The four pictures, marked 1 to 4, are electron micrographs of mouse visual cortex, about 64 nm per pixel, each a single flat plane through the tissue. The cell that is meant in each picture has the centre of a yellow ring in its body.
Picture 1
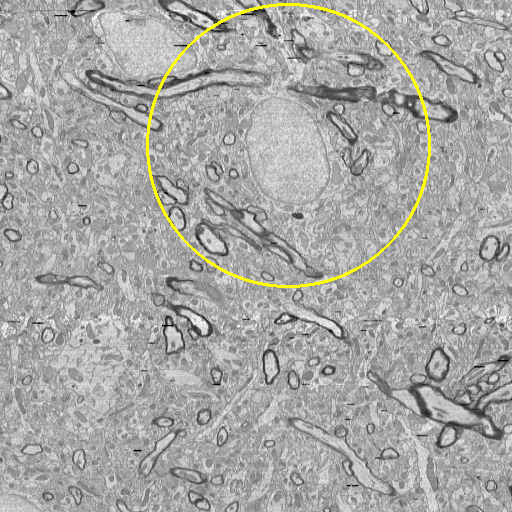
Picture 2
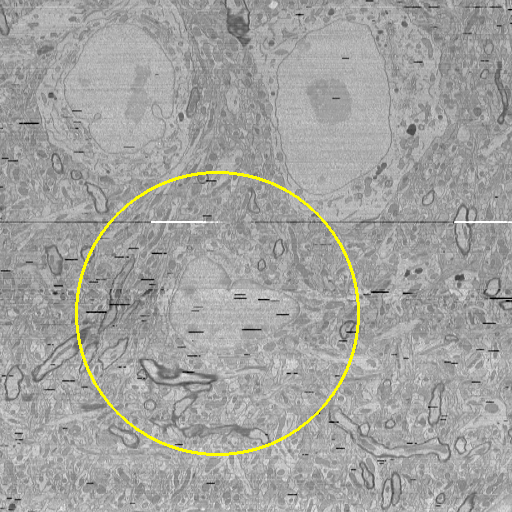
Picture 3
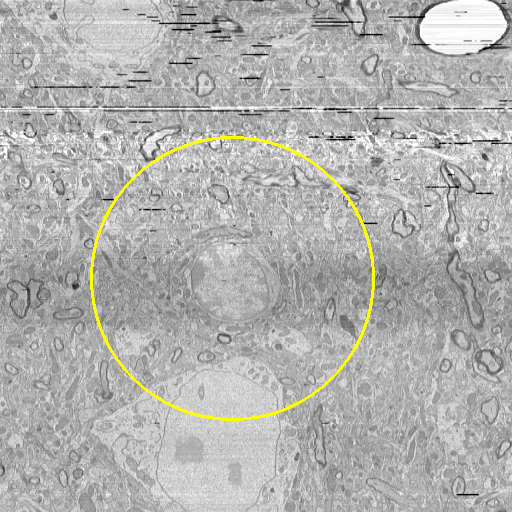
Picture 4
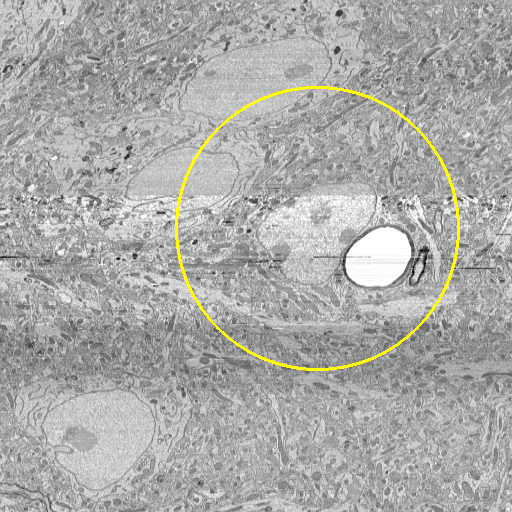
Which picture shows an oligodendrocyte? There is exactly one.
The cell in picture 3 is the oligodendrocyte.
